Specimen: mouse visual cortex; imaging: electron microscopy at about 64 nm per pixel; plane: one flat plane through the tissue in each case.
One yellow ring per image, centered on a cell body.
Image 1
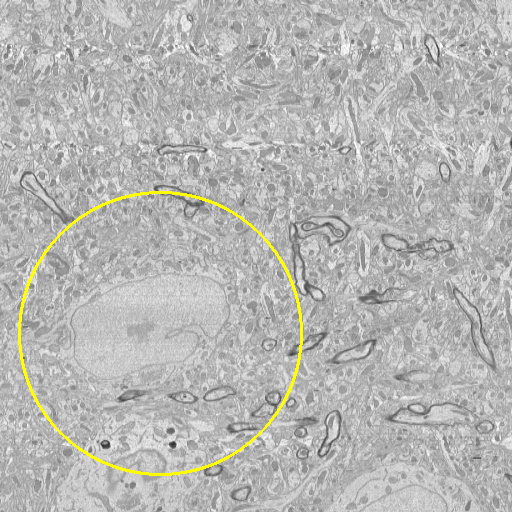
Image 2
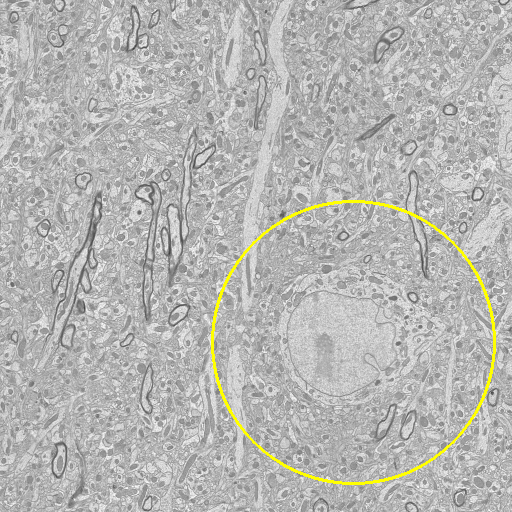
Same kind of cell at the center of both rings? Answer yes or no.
yes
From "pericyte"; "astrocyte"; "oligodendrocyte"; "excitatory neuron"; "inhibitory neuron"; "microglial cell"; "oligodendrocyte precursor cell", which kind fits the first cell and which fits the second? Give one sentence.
In both pictures the ring is centred on an inhibitory neuron.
